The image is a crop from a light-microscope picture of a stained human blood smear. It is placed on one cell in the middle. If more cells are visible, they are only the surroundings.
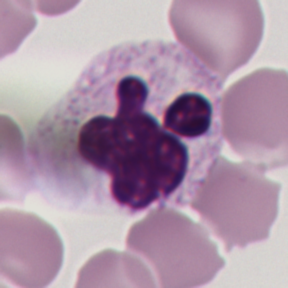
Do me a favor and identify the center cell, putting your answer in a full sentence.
In short, the cell at the center is a segmented neutrophil.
